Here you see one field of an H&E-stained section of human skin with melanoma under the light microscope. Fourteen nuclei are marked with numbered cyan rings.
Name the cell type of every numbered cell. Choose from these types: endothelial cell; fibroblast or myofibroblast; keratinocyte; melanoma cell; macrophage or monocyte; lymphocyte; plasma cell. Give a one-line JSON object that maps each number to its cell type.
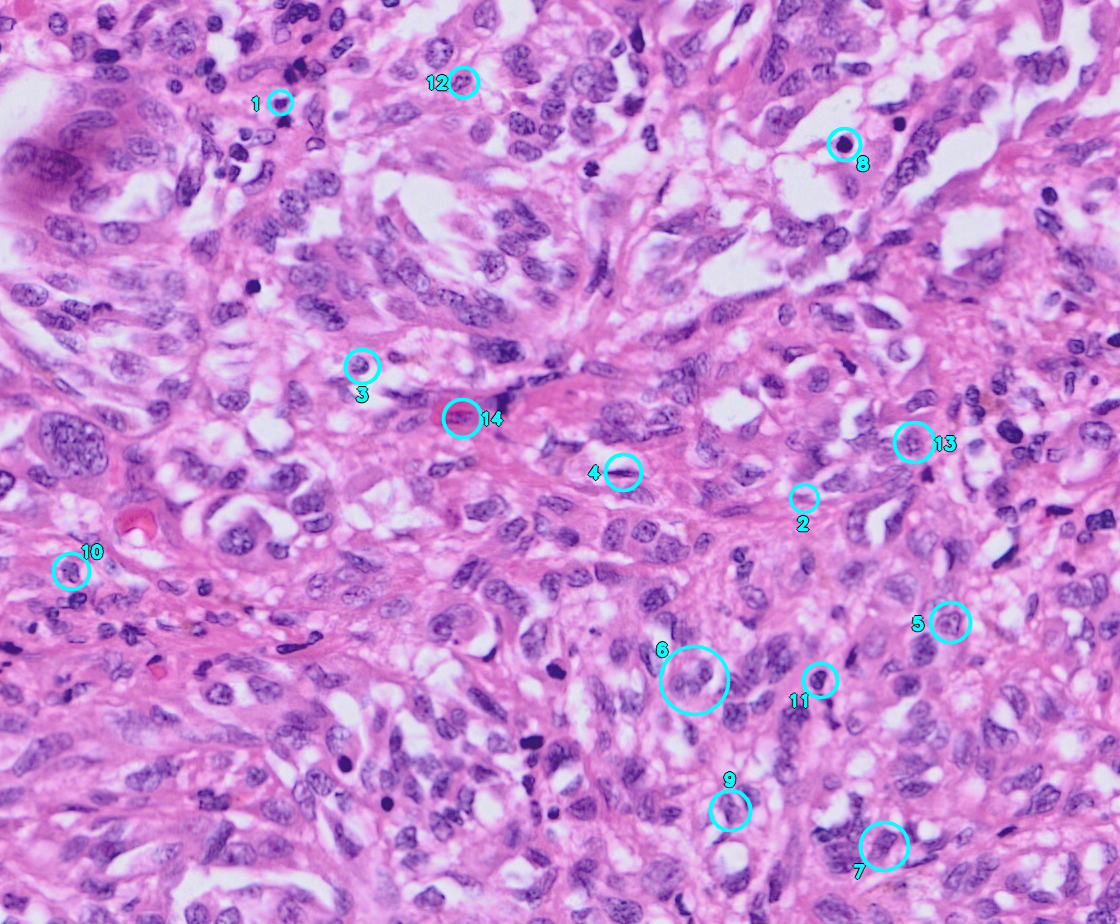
{"1": "lymphocyte", "2": "melanoma cell", "3": "lymphocyte", "4": "fibroblast or myofibroblast", "5": "melanoma cell", "6": "melanoma cell", "7": "melanoma cell", "8": "lymphocyte", "9": "melanoma cell", "10": "lymphocyte", "11": "lymphocyte", "12": "macrophage or monocyte", "13": "melanoma cell", "14": "endothelial cell"}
